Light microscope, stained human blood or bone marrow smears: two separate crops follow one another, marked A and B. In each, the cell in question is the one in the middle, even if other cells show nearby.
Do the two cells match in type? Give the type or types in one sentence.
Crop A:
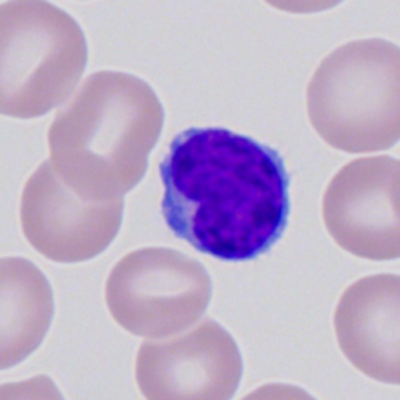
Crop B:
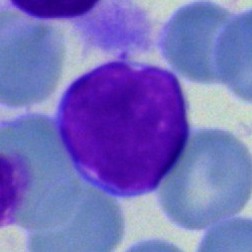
Yes, lymphocytes are present at the centre of both crops.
